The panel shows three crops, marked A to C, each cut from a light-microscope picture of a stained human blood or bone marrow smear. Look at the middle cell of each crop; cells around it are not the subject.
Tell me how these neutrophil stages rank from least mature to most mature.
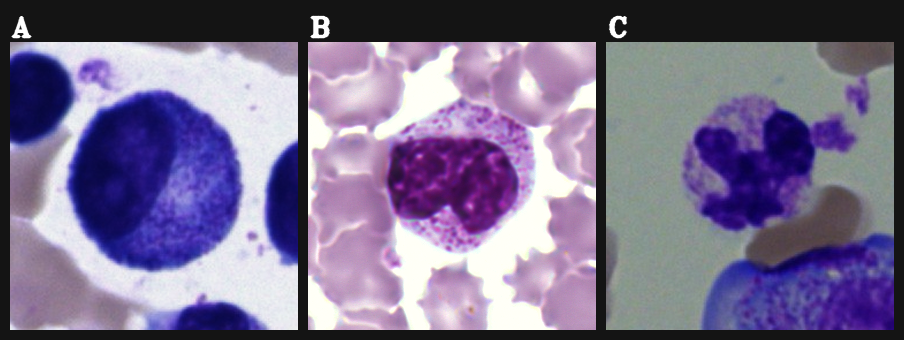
A, B, C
